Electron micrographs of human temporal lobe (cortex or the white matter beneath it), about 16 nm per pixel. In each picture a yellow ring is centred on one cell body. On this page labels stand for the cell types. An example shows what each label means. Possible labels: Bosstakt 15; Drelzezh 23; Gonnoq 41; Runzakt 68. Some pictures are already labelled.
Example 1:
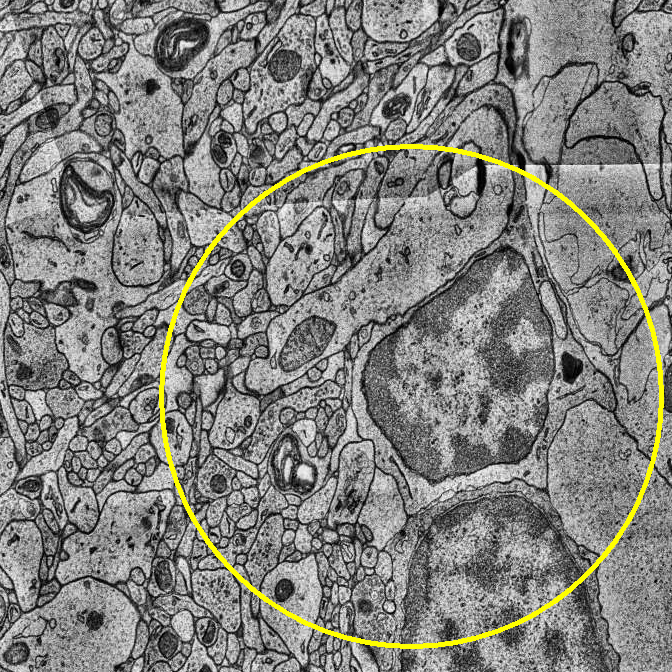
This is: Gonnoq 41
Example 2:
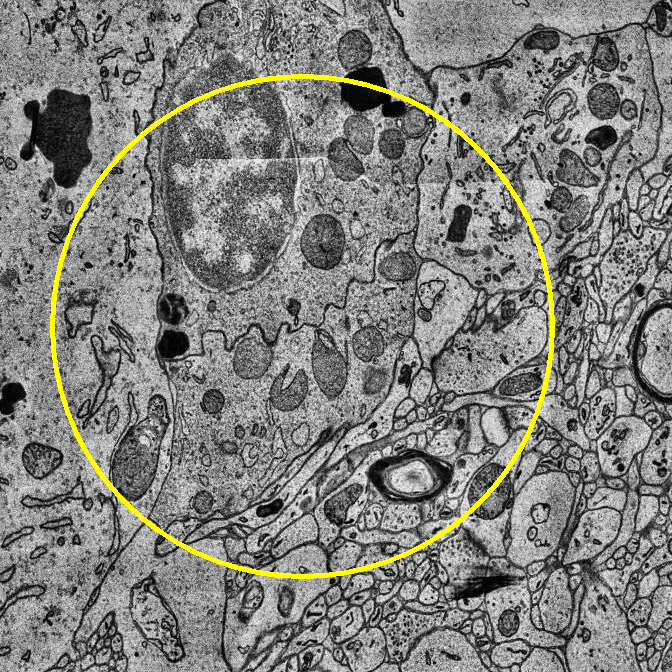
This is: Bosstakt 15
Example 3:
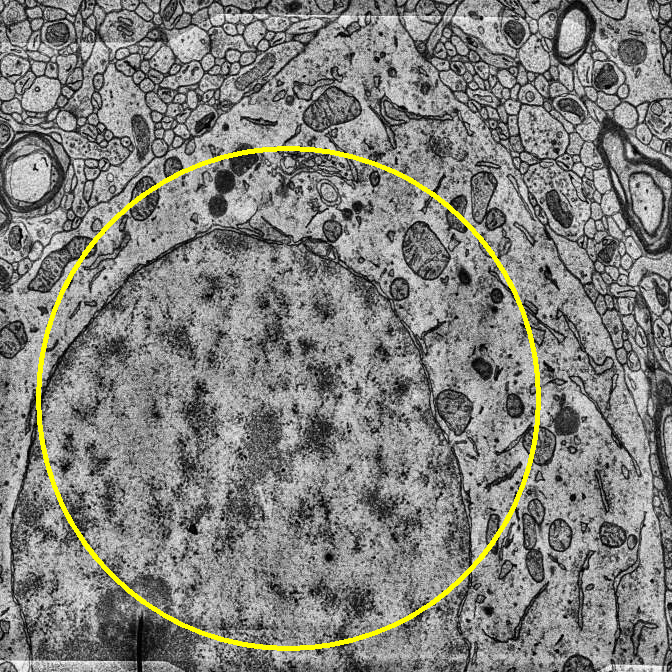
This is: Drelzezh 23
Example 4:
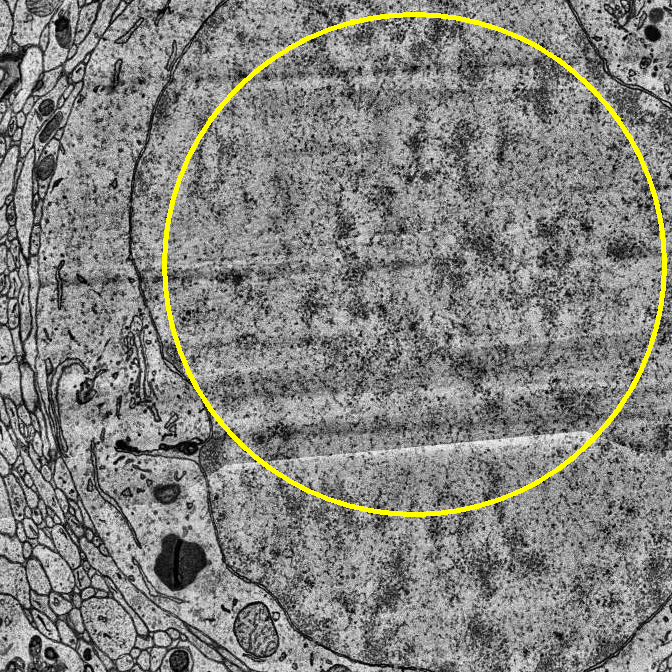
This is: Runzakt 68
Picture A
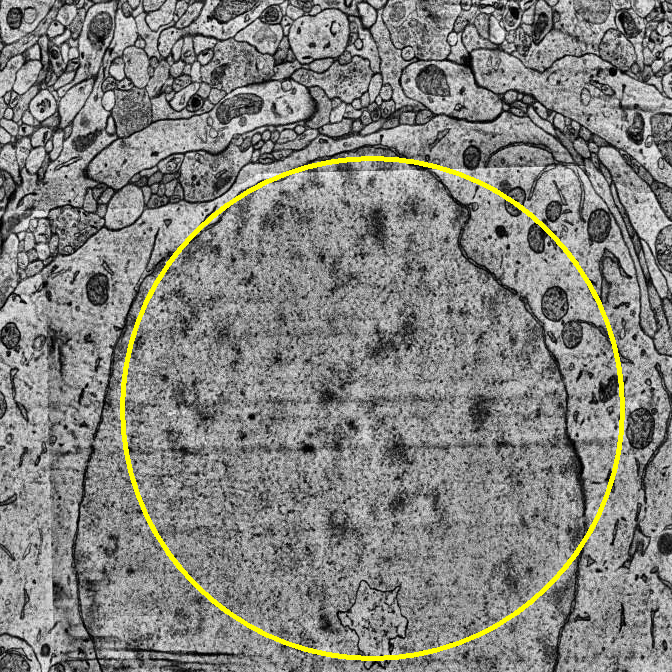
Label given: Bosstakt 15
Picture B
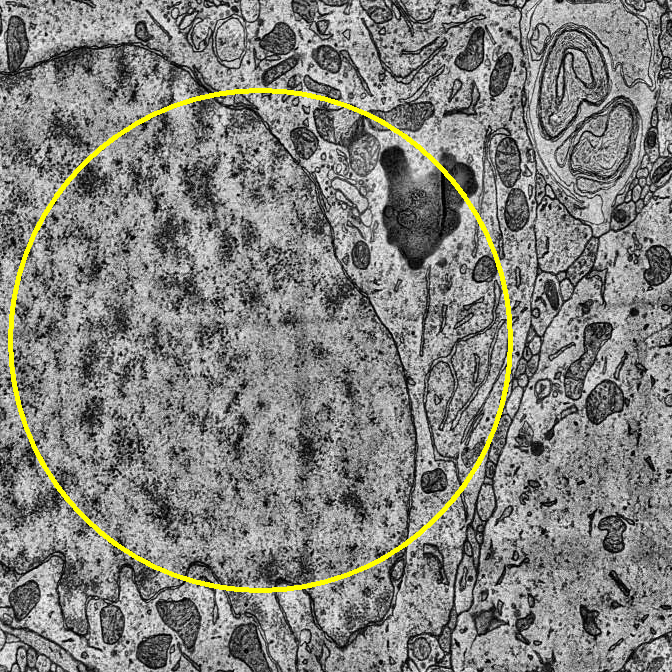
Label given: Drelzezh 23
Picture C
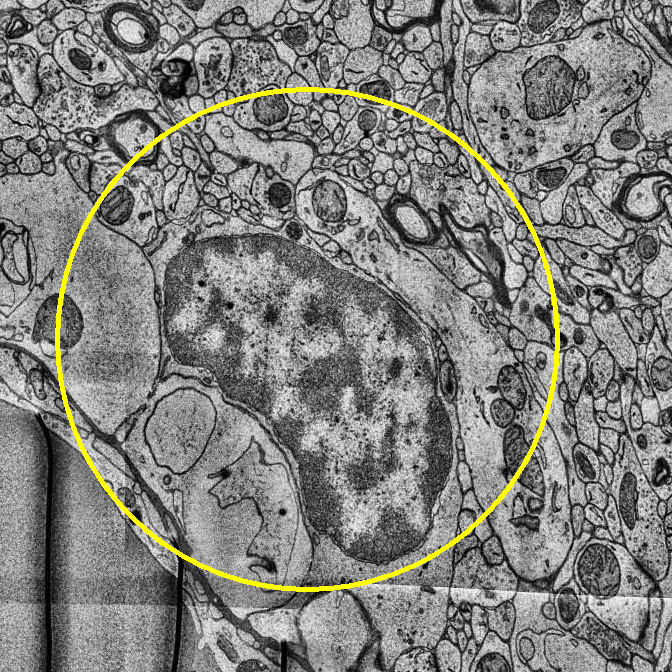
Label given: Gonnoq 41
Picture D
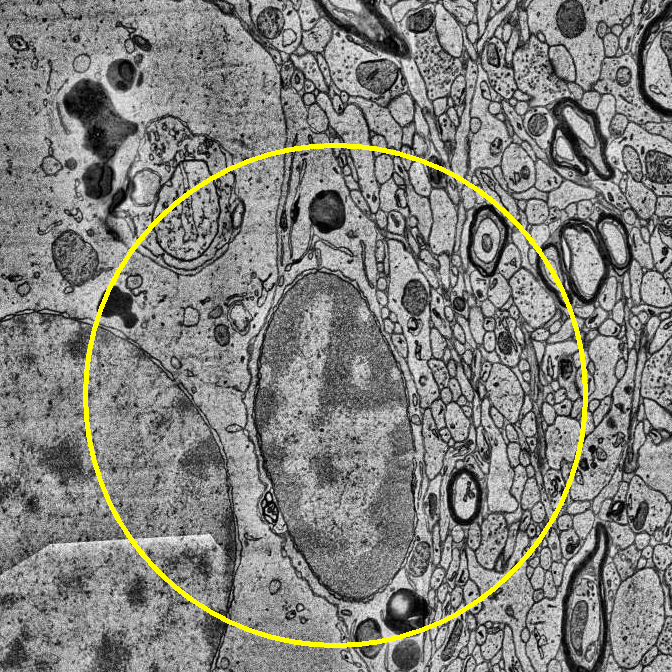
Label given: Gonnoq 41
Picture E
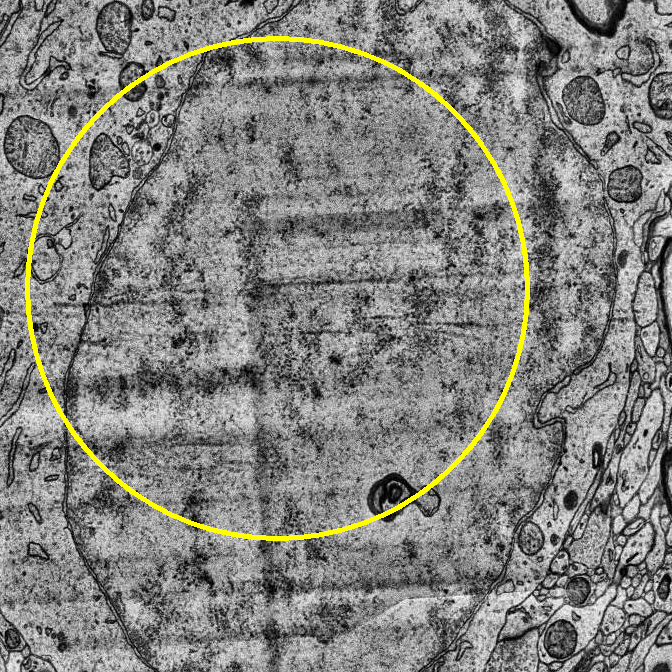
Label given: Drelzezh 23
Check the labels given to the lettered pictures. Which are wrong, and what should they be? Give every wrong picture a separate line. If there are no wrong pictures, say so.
A: Runzakt 68, not Bosstakt 15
